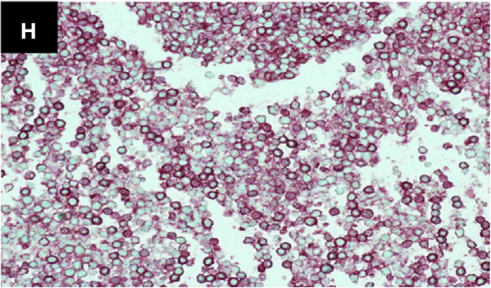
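The cells are small, round and fairly uniform, each with a round nucleus encircled by a thin red rim. They are packed in dense sheets with no tissue architecture, broken only by a few clear channels of empty space. Unlike a tissue section, there is no supporting stroma between the cells.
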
